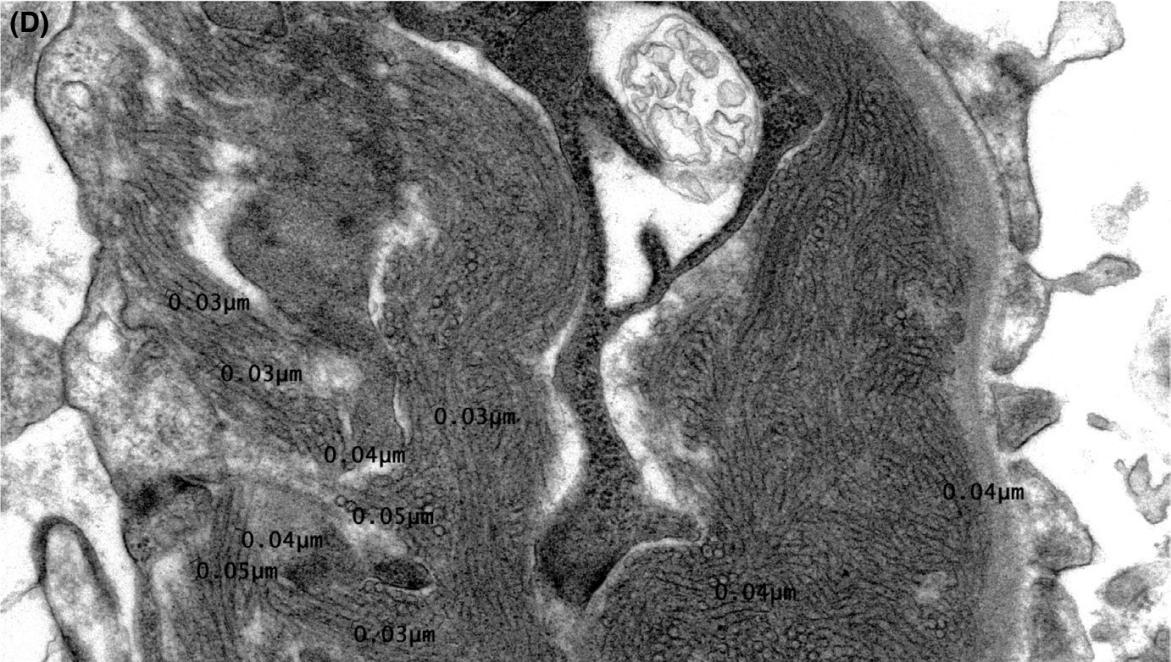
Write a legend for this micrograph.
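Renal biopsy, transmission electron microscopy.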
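This electron micrograph shows a portion of a glomerular capillary wall and mesangium filled with large masses of organised deposits. The deposits are made of densely packed, slightly curved tubular structures that run in parallel bundles across much of the field. Where the tubules are cut across, they appear as small ring-shaped profiles with pale hollow centres. A dark, dense band winds through the middle of the field between the deposit masses. At the right edge, small irregular cell processes project into a pale space beyond the deposits.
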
